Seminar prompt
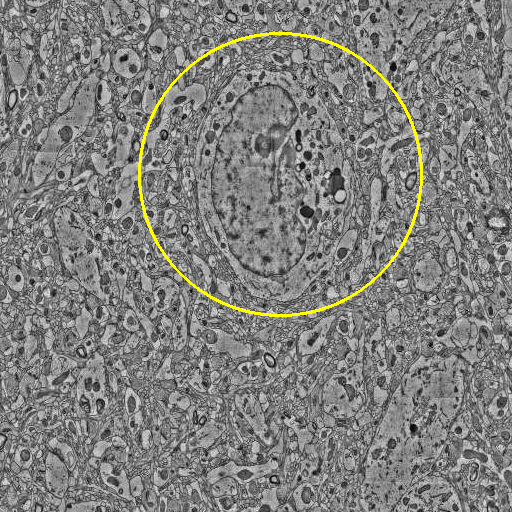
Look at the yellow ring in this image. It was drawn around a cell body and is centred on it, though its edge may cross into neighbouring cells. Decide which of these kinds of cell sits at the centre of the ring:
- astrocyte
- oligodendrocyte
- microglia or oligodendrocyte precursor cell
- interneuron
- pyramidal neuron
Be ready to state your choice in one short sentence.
The kind of cell at the ring's centre is an interneuron.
